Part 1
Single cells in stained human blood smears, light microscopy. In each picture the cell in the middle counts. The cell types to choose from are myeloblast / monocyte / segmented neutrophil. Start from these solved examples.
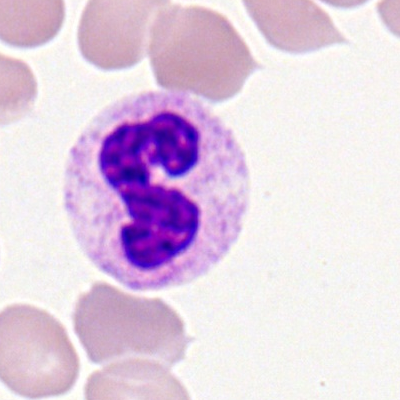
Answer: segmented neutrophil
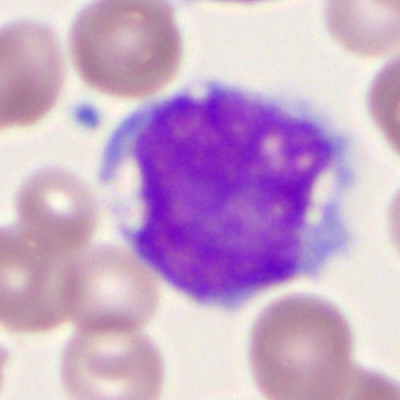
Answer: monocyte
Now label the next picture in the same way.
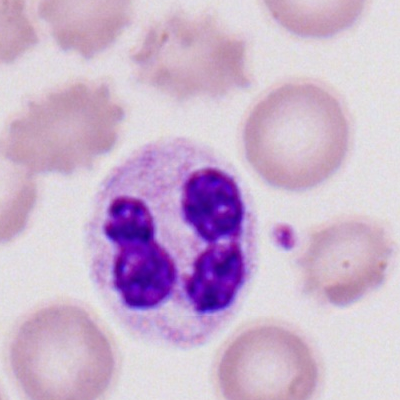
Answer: segmented neutrophil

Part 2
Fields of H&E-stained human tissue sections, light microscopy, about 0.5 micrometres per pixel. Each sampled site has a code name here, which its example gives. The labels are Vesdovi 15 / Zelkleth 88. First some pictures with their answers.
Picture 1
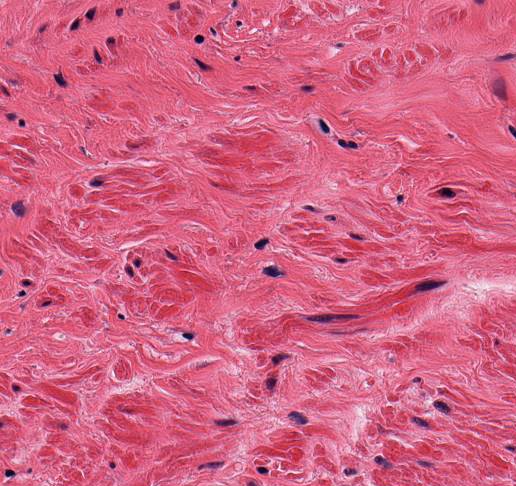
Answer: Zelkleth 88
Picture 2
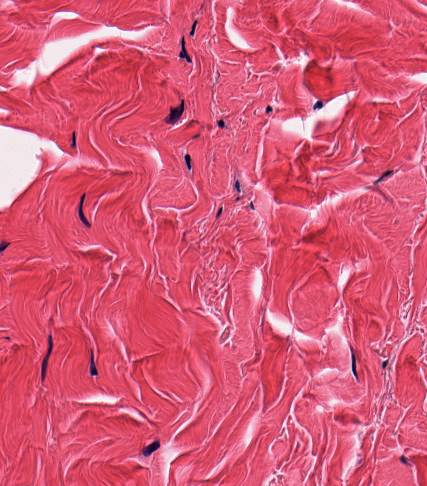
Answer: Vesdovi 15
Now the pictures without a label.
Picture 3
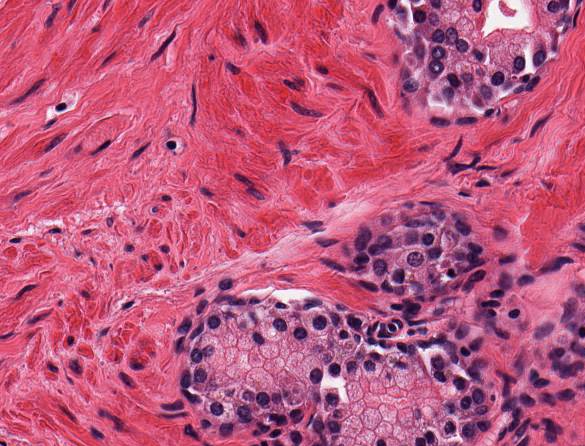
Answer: Zelkleth 88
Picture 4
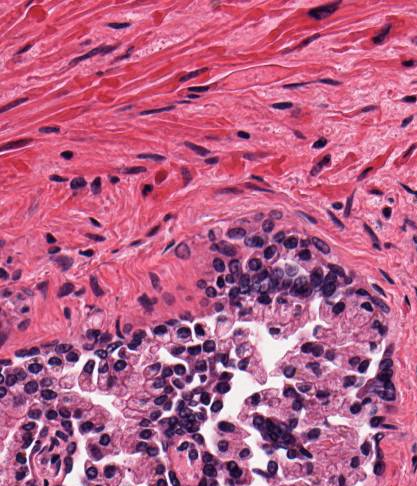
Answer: Zelkleth 88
